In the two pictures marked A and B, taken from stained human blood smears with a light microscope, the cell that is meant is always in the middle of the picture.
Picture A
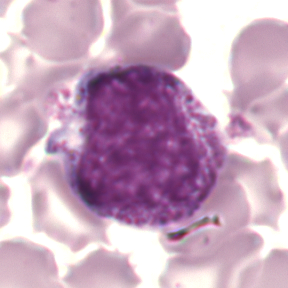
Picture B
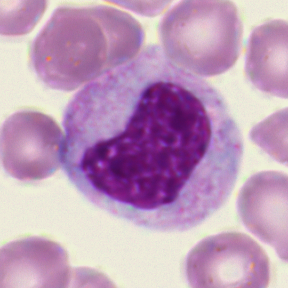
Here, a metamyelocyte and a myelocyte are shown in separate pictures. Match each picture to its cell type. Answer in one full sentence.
It is picture A that shows a myelocyte, and picture B that shows a metamyelocyte.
